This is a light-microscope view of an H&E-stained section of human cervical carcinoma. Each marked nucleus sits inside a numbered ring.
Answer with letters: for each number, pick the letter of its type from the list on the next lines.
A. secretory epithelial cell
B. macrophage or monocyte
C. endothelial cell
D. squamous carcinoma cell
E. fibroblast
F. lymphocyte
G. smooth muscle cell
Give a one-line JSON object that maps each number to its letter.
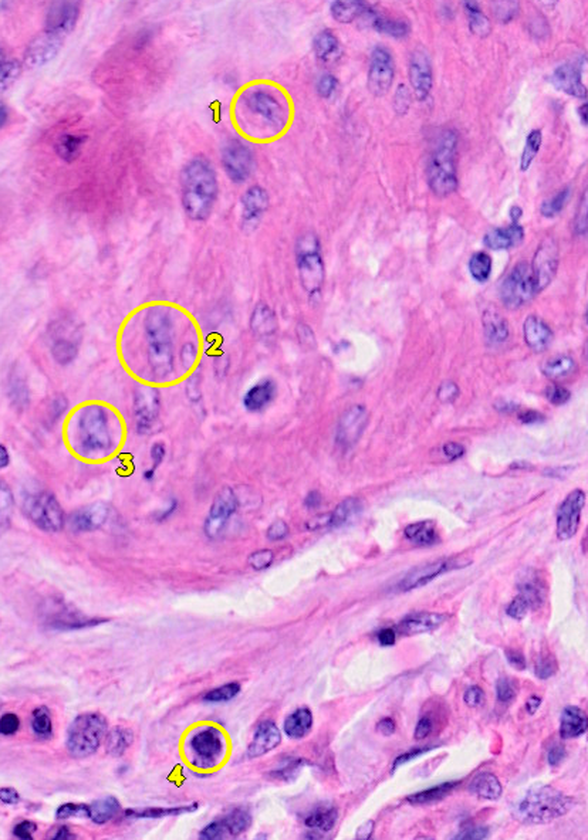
{"1": "G", "2": "G", "3": "G", "4": "F"}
